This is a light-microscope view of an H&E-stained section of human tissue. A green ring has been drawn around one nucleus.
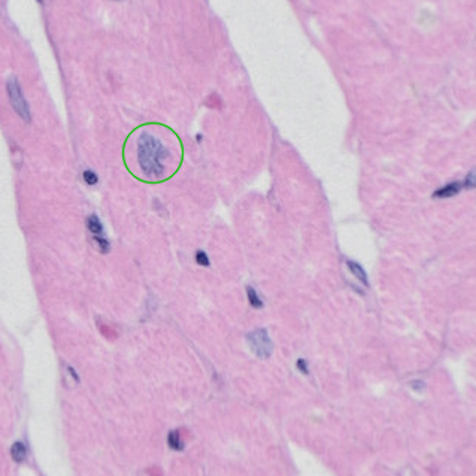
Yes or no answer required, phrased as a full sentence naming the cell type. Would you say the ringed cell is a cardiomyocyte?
Yes, the ringed cell is properly called a cardiomyocyte in this section.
